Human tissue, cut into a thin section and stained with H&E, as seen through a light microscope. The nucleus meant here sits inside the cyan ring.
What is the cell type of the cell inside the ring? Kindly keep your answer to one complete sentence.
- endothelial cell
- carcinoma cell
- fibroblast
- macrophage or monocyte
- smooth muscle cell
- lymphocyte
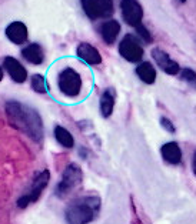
The category to which the cell inside the ring belongs is that of a lymphocyte.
